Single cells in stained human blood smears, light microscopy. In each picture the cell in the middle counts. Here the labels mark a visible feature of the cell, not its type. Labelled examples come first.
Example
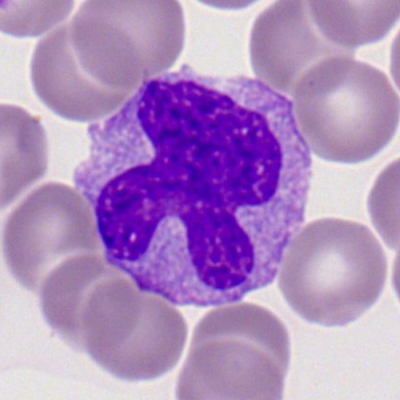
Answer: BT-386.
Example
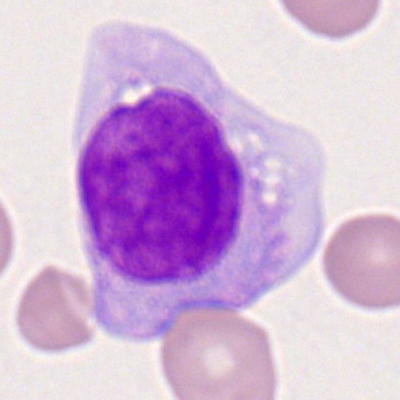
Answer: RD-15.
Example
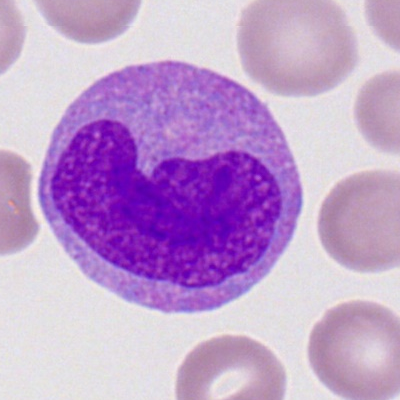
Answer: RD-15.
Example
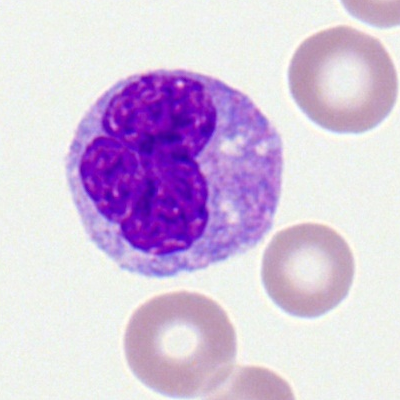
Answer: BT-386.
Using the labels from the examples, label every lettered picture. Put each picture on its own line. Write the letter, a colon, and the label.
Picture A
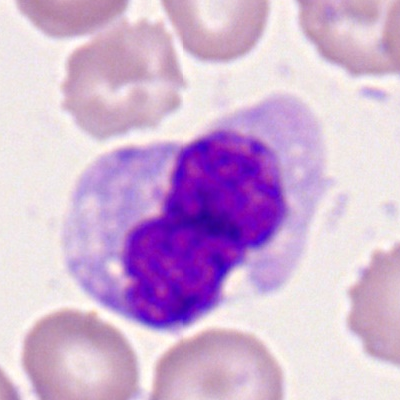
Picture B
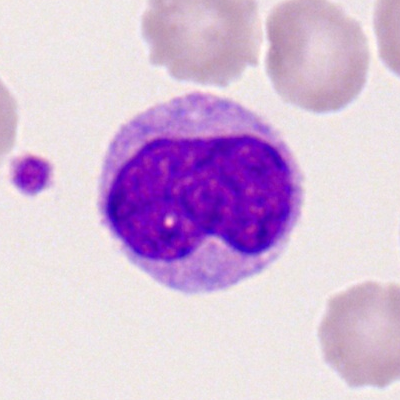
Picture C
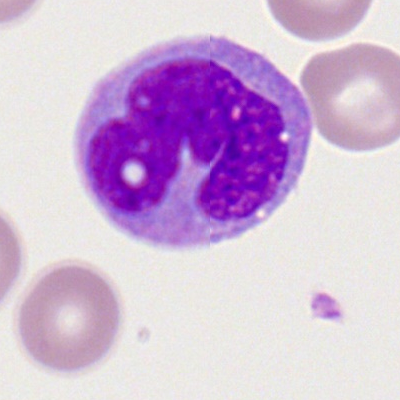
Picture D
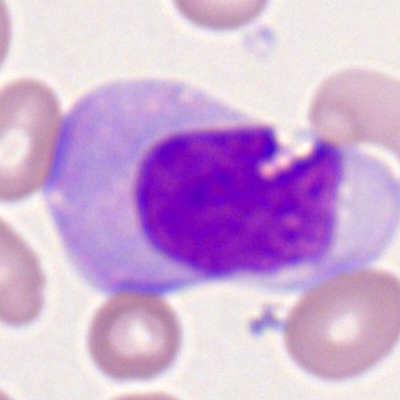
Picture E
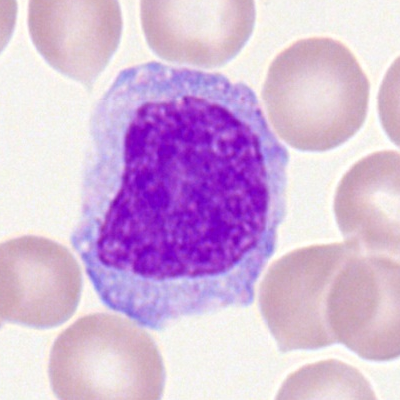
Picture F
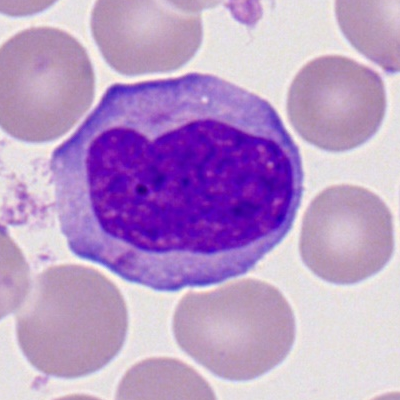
A: BT-386.
B: RD-15.
C: RD-15.
D: RD-15.
E: RD-15.
F: RD-15.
